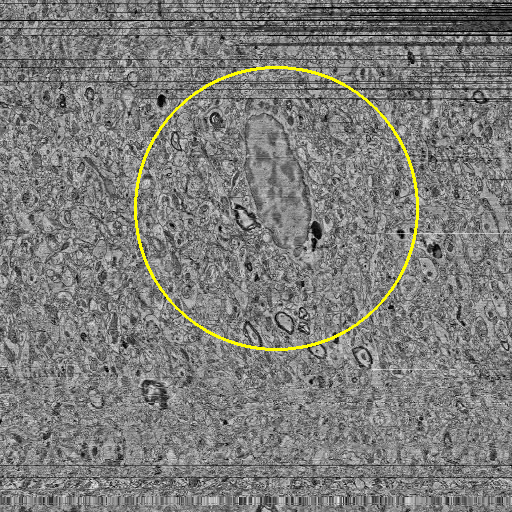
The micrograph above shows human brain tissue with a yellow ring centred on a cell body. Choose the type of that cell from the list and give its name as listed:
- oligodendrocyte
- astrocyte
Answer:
oligodendrocyte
